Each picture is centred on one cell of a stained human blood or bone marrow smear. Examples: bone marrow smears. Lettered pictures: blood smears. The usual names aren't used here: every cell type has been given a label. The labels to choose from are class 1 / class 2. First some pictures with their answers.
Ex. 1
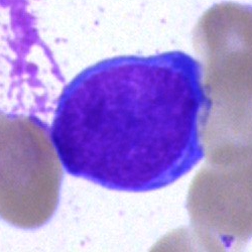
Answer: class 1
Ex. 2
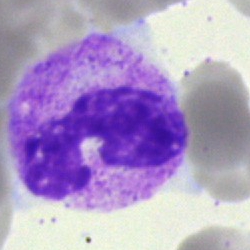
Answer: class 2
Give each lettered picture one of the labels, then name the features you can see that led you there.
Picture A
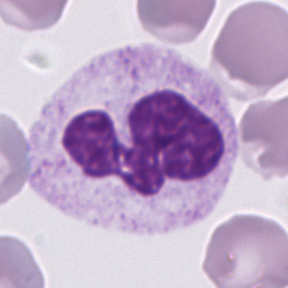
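Answer: class 2. The cytoplasm is plentiful and pale pinkish-lilac.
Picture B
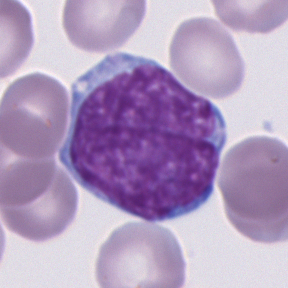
Answer: class 1. The cytoplasm forms only a narrow rim around the nucleus.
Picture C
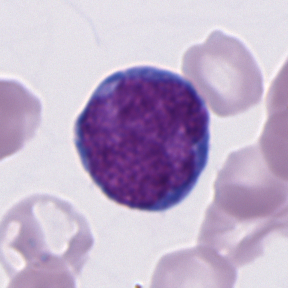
Answer: class 1. The cytoplasm forms only a thin blue rim around the nucleus.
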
